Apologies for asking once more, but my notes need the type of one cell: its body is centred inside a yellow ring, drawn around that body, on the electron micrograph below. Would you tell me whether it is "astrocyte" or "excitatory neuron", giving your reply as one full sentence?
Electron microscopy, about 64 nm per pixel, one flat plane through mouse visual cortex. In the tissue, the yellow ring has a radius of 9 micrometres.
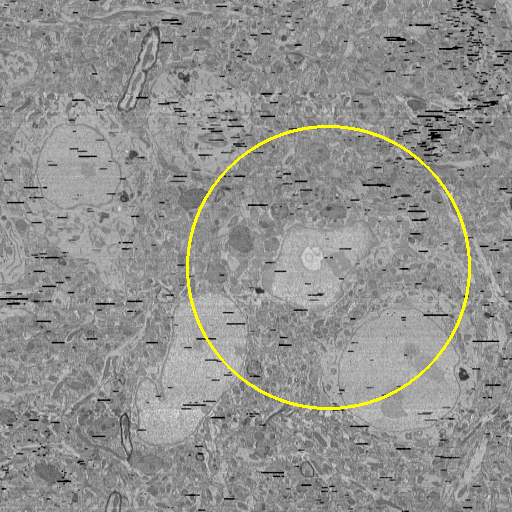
The cell that the yellow ring is centred on is an astrocyte in this micrograph.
